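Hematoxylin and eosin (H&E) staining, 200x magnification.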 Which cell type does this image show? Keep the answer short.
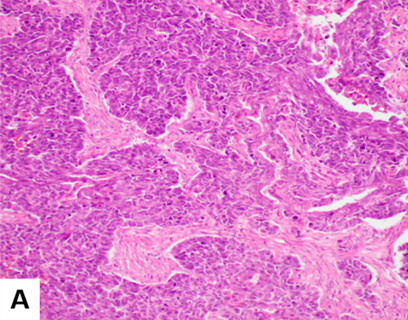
Undifferentiated carcinoma cells.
